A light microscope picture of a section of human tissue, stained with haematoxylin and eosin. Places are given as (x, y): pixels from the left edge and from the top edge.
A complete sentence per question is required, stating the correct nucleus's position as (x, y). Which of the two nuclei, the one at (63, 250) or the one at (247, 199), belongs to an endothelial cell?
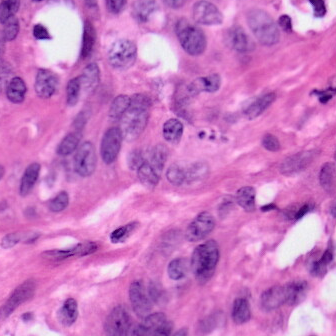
Between the two nuclei, the one sitting at (63, 250) belongs to an endothelial cell.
